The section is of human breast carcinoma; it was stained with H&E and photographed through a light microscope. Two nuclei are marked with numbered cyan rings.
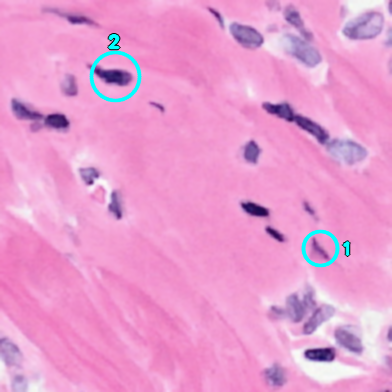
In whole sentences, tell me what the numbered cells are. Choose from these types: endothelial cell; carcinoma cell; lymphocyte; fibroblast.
Cell 1 is a fibroblast. Cell 2 is a lymphocyte.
